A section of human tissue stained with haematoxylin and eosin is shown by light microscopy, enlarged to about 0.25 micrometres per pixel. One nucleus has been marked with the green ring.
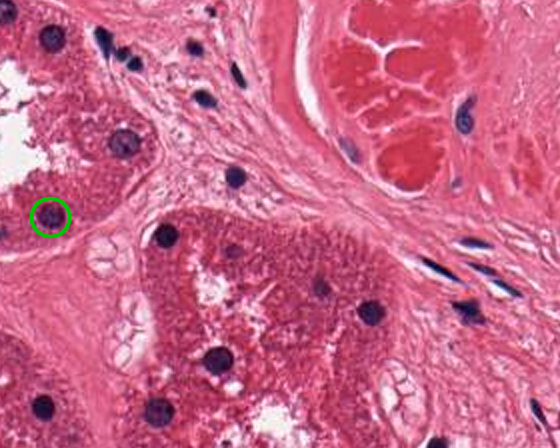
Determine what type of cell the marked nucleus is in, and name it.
proximal tubule cell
